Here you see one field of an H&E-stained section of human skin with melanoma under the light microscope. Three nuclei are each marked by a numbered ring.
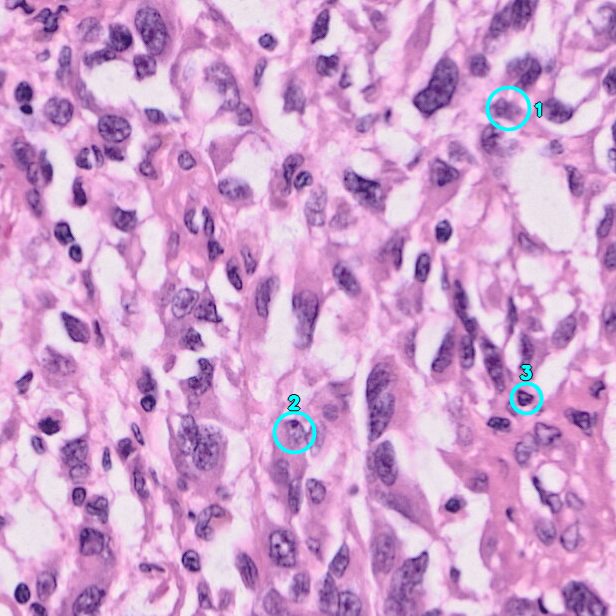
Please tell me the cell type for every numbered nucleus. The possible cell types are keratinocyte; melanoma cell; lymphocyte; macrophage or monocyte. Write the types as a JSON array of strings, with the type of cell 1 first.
["melanoma cell", "melanoma cell", "lymphocyte"]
